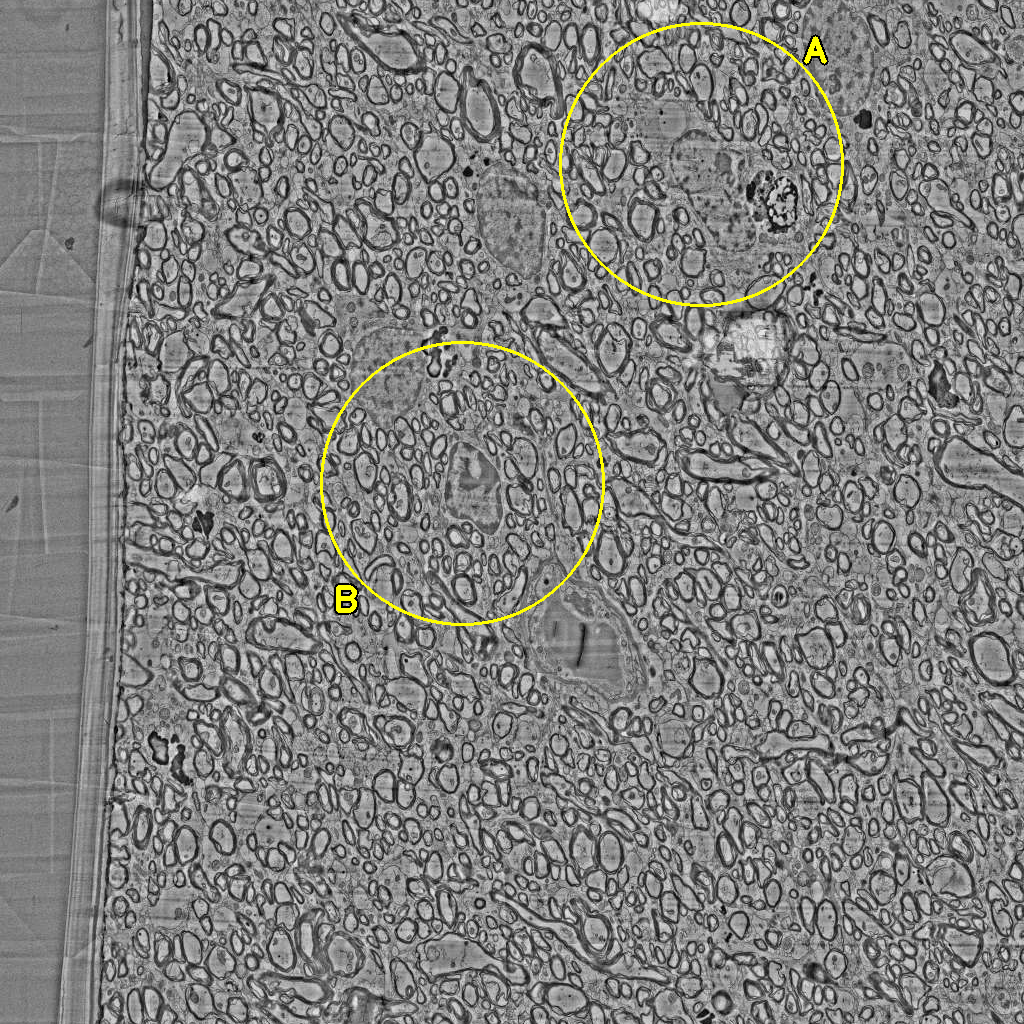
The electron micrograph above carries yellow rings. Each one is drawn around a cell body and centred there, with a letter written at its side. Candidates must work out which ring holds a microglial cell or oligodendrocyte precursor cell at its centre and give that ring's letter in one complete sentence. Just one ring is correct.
Letter B marks the ring whose centre holds that kind of cell.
